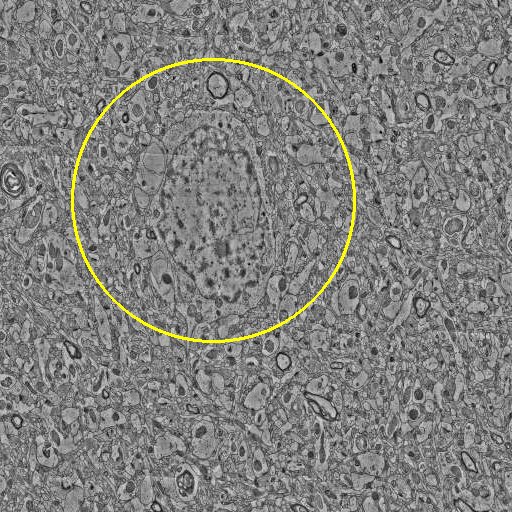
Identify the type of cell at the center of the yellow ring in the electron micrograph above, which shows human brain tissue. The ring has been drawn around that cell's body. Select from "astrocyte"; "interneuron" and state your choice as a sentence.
The yellow ring is centered on the body of an interneuron.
